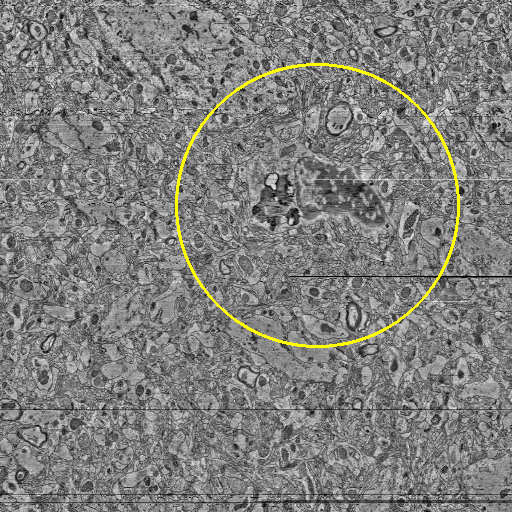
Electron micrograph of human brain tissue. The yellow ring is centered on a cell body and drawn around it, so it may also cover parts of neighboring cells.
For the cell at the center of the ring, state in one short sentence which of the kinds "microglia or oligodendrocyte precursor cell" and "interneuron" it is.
This ring is centered on a microglial cell or oligodendrocyte precursor cell.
